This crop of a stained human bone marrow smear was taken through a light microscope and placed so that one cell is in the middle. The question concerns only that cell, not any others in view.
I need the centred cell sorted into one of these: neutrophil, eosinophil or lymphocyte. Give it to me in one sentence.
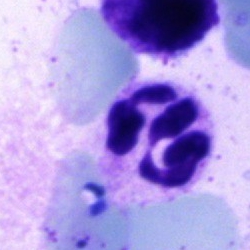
In the center of this field lies a neutrophil.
